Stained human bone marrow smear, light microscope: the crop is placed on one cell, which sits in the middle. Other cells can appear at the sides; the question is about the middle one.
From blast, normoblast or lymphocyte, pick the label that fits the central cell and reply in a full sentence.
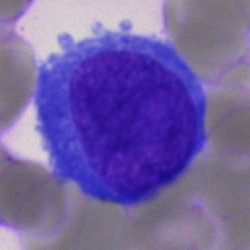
In short, the cell at the center is a blast.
